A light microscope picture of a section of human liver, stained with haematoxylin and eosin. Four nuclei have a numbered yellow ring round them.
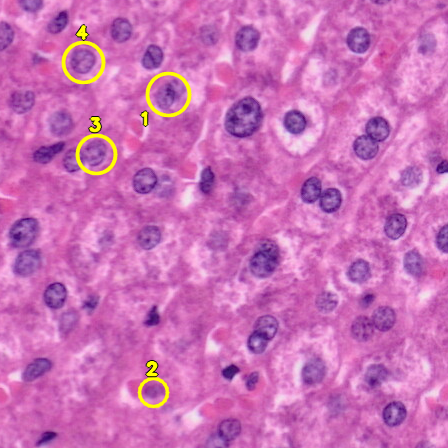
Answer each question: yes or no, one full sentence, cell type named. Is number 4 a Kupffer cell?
No, it is a hepatocyte, not a Kupffer cell, that number 4 marks.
